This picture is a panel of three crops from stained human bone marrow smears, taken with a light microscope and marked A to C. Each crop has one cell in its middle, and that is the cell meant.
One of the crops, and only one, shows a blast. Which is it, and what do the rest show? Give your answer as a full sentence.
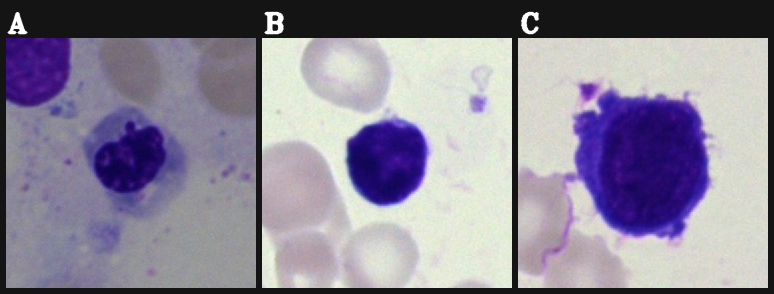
On the one hand crop C shows a blast; on the other, crop A is a normoblast and crop B is a lymphocyte.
